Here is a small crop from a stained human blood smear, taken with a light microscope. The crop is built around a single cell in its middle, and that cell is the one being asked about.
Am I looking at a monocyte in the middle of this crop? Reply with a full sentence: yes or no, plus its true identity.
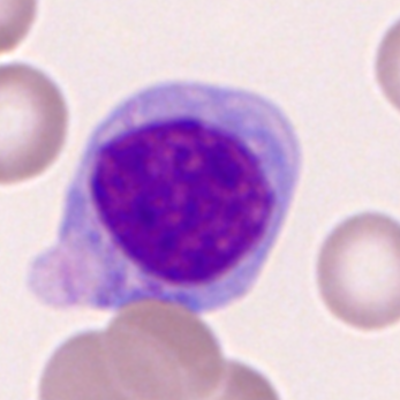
Yes, the one cell at the centre is a monocyte.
